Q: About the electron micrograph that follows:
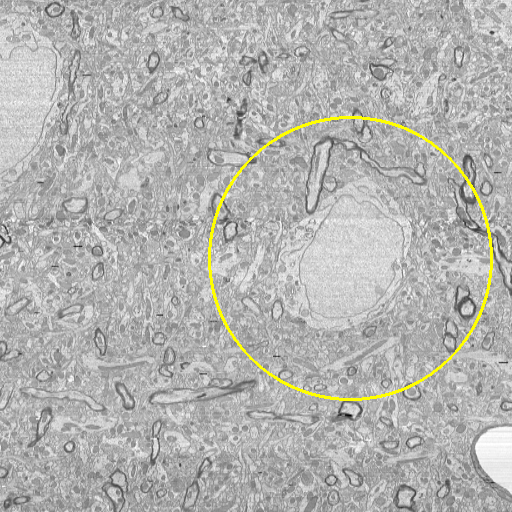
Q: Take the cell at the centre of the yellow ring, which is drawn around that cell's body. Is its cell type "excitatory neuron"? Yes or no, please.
Yes, its type is that one.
